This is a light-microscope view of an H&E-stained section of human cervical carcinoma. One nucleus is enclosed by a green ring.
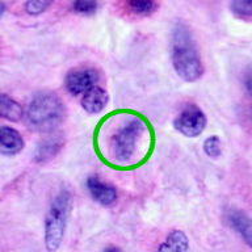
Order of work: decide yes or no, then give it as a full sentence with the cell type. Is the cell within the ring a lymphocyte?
No, a lymphocyte is not what the cell within the ring is; it is a macrophage or monocyte.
